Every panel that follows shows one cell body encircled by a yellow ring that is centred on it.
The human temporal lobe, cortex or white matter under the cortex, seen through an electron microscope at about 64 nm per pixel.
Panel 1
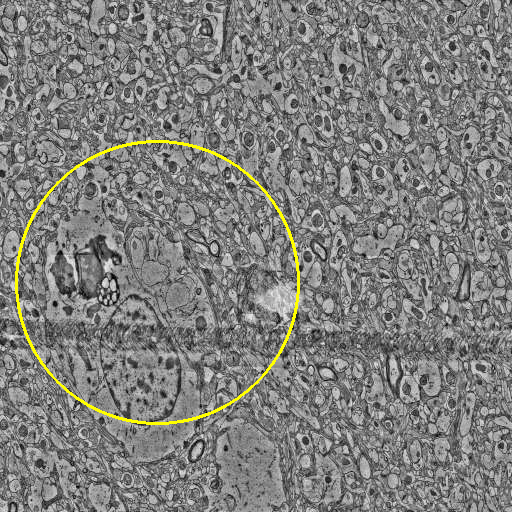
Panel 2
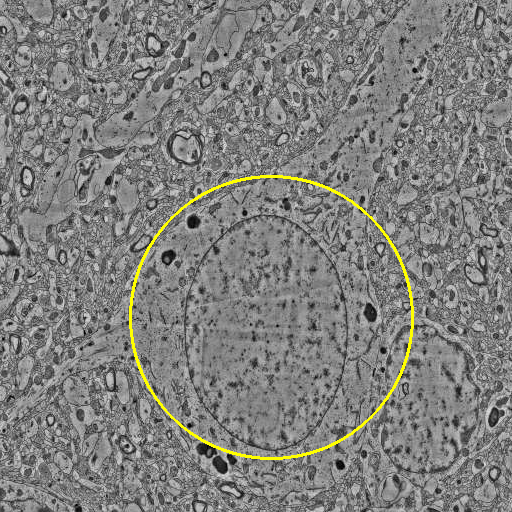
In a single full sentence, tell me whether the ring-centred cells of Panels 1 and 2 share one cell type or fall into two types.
In Panel 1 and Panel 2, the cells at the ring centres fall into two types.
